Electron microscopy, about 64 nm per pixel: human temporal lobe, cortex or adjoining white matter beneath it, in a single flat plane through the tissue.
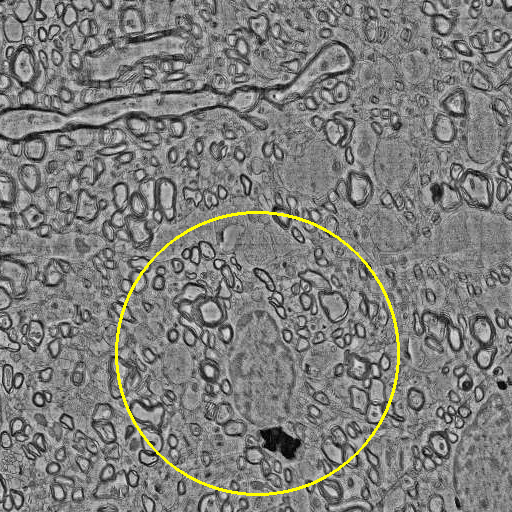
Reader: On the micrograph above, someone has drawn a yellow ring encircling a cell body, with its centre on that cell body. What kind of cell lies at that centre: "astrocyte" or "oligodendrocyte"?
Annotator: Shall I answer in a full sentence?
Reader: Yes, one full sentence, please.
Here an oligodendrocyte sits at the centre of the yellow ring drawn on the micrograph.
